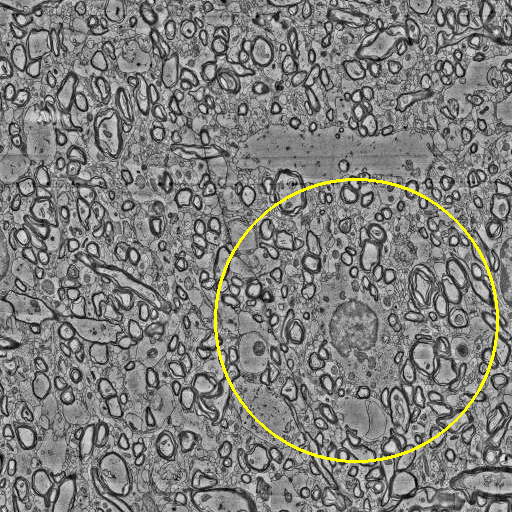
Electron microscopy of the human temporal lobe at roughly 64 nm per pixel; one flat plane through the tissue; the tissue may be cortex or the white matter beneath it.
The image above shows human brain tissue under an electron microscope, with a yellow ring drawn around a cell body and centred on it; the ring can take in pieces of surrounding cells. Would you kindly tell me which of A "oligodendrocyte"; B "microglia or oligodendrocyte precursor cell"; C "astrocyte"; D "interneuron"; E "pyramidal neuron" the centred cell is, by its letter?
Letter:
A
